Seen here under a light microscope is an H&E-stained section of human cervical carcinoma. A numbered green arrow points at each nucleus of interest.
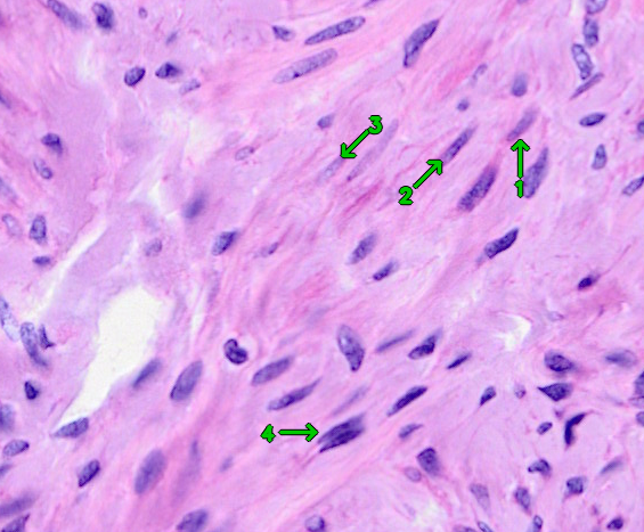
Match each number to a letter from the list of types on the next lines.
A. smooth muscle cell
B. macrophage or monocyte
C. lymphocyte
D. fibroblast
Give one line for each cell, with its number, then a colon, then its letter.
1: A
2: A
3: A
4: D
